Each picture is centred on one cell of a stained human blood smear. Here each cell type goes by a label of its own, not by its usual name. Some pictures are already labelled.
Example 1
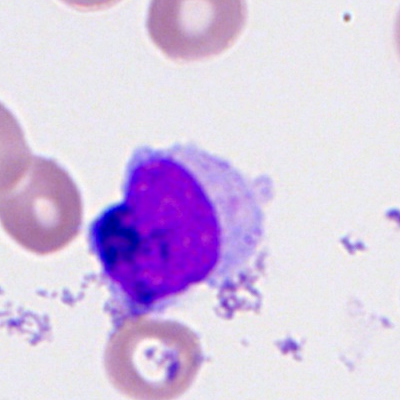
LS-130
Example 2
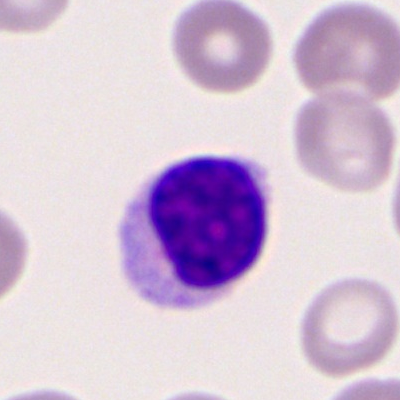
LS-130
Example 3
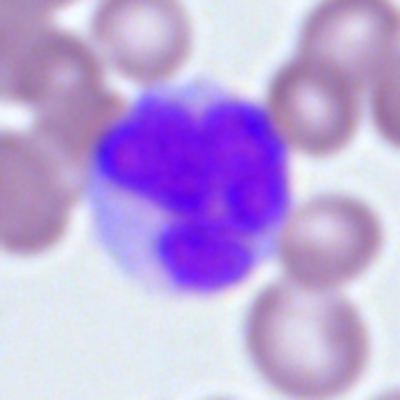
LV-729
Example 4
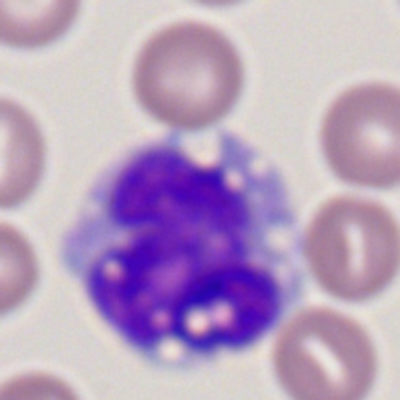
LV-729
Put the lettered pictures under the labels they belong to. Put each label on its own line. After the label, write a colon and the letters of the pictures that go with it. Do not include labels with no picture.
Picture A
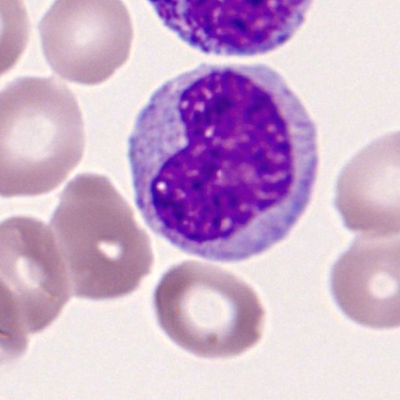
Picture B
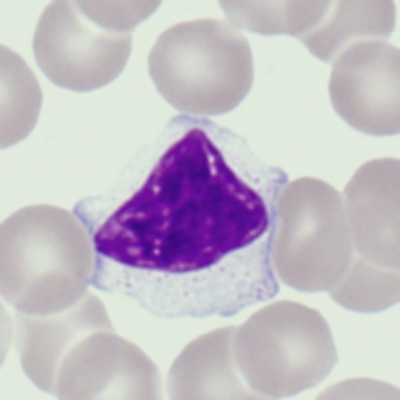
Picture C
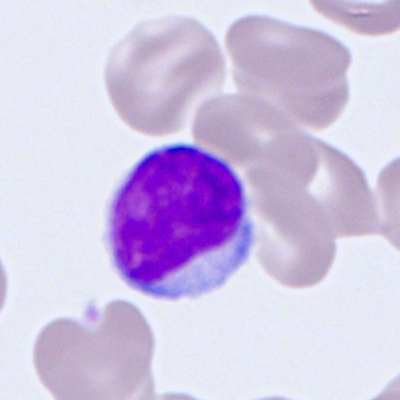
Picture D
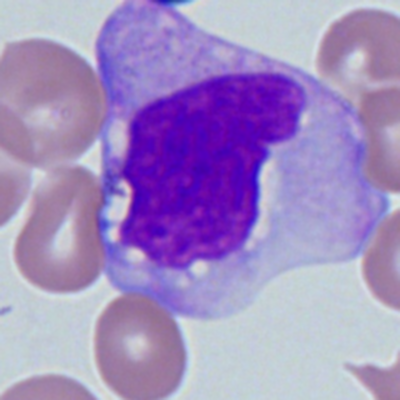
LS-130: B, C
LV-729: A, D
